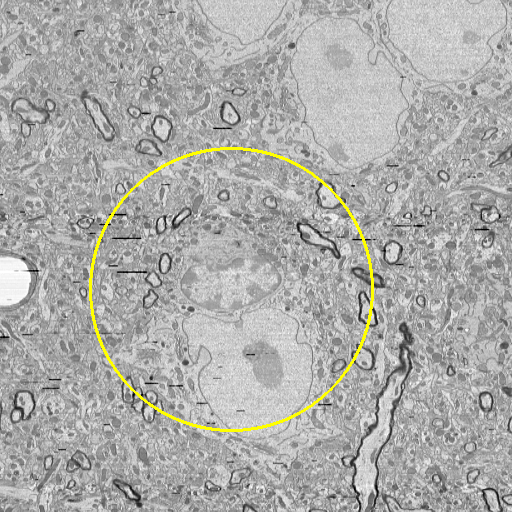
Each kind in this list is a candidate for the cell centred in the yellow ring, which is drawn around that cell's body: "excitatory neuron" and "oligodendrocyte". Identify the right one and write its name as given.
oligodendrocyte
